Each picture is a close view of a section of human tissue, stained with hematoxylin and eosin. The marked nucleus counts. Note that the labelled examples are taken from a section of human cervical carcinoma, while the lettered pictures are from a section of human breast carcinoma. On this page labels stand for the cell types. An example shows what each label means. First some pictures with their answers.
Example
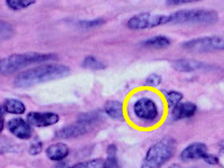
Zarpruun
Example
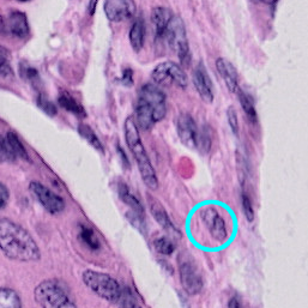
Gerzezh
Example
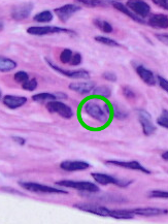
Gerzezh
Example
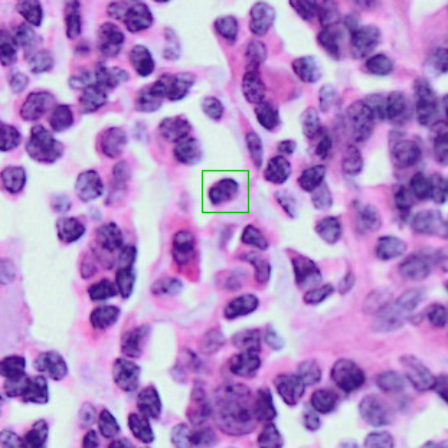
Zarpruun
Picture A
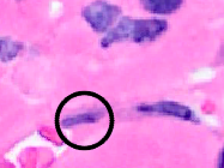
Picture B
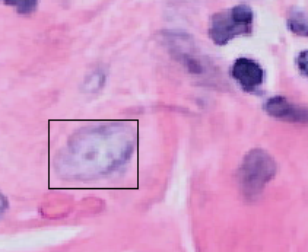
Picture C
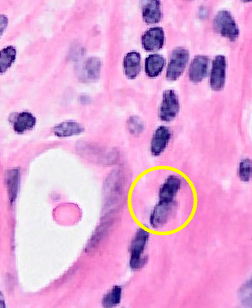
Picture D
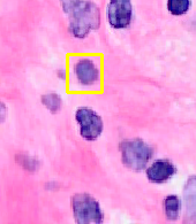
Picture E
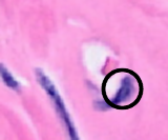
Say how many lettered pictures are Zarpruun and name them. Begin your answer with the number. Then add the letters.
2: C, D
